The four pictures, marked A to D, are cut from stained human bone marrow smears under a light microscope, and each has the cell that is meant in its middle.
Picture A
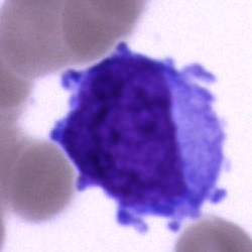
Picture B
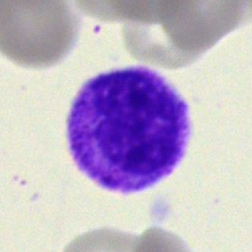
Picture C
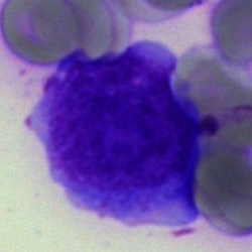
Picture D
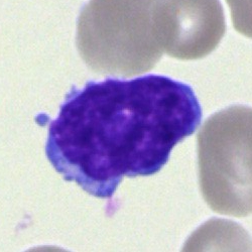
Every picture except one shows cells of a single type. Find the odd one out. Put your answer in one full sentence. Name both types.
Unlike the rest, which show blasts, picture B shows a myelocyte.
